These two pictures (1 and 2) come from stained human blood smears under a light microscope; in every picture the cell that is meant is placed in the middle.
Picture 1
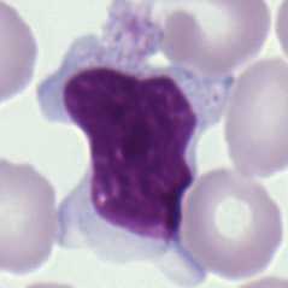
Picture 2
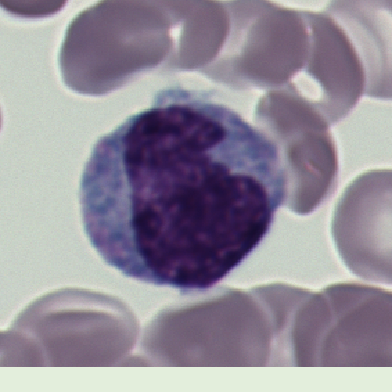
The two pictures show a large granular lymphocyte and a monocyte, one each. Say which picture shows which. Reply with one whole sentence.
The cell in picture 1 is a large granular lymphocyte, and the one in picture 2 is a monocyte.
